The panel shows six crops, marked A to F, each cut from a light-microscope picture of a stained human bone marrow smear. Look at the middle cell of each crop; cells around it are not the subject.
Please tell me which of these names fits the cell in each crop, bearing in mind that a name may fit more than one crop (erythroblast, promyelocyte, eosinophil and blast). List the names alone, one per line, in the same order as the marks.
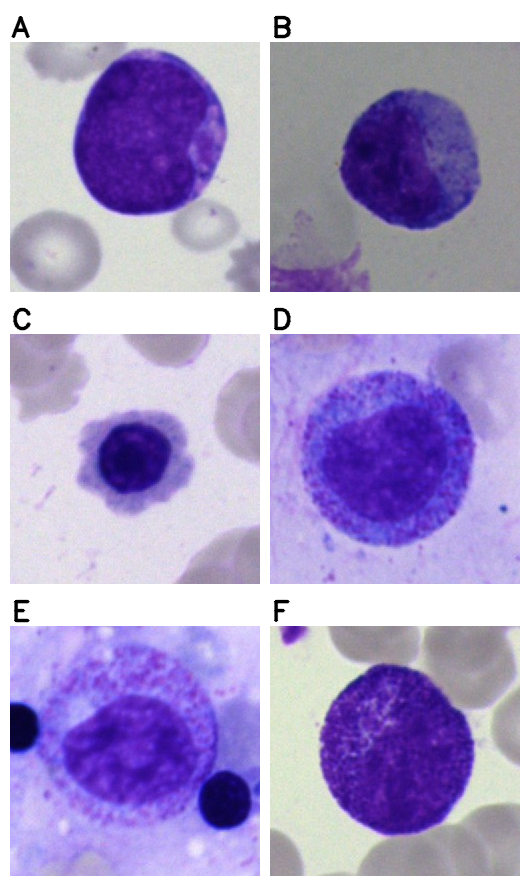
blast
promyelocyte
erythroblast
promyelocyte
promyelocyte
promyelocyte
